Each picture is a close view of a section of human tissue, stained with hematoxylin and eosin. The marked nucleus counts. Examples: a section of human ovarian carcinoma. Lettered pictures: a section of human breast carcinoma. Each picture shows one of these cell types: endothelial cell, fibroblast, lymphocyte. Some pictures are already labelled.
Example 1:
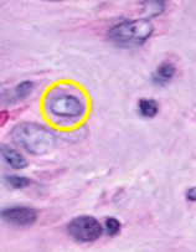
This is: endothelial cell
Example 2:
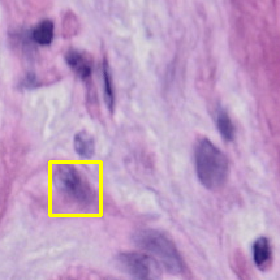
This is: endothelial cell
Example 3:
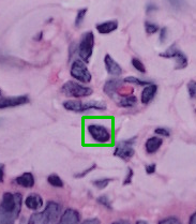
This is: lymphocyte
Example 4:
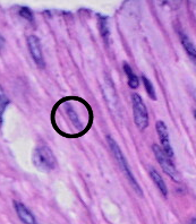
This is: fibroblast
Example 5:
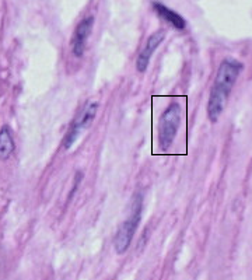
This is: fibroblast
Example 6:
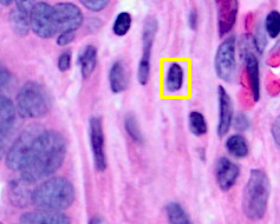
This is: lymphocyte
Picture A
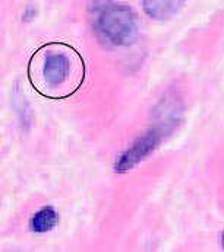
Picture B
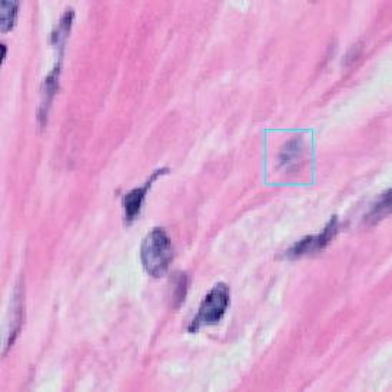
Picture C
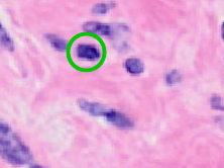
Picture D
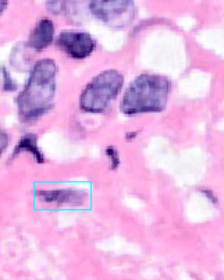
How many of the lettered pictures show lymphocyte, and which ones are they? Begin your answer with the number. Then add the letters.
Count: 2 (A, C)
